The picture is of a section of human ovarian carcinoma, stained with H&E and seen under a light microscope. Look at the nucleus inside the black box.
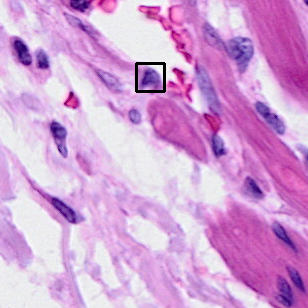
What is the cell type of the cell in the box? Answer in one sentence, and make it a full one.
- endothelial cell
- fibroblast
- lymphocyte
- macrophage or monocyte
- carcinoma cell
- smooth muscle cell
For cell typing purposes, the cell in the box is an endothelial cell.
